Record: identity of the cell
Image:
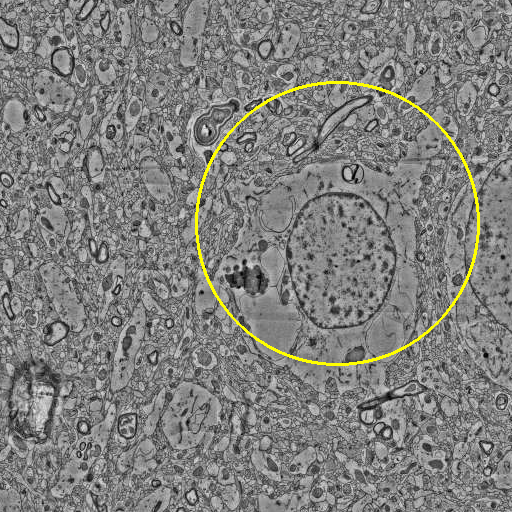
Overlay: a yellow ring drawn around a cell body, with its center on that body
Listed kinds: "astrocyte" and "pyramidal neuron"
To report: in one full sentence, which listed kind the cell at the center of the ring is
In the image, the cell body at the ring's center belongs to an astrocyte.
